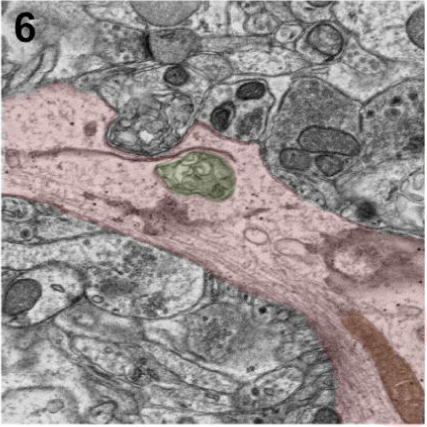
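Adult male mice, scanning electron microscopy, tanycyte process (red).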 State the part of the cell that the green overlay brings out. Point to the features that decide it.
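Multivesicular cargos. It lies within the pink-tinted process.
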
